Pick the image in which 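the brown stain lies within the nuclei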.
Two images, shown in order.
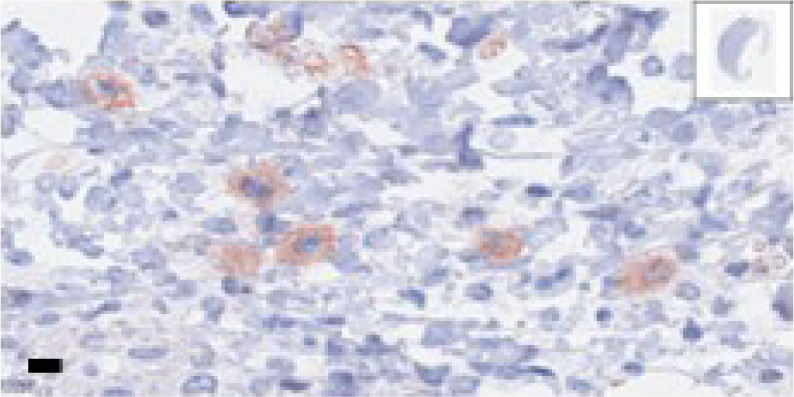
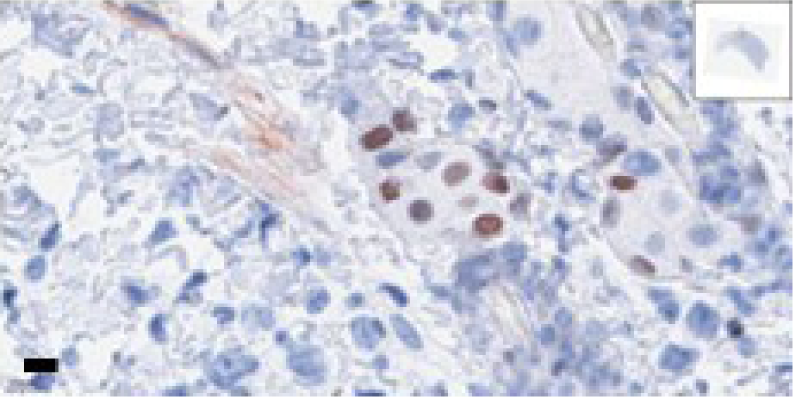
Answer: The second image.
